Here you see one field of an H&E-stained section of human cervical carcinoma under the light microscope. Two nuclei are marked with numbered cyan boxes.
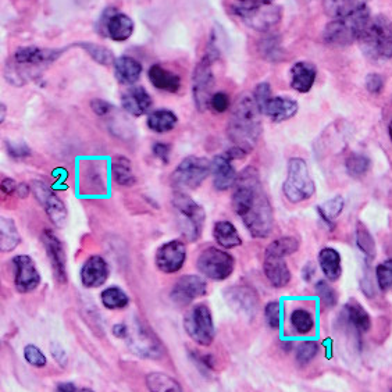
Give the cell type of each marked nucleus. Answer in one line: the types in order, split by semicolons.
lymphocyte; endothelial cell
